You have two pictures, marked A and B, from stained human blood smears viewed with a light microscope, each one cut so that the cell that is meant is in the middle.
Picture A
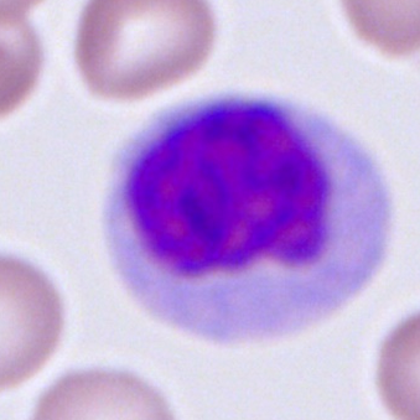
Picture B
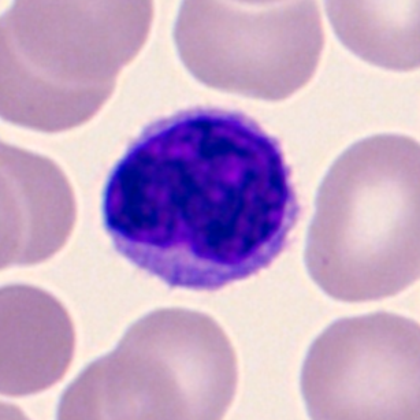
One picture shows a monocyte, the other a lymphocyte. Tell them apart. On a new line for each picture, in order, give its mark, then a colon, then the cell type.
A: monocyte
B: lymphocyte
